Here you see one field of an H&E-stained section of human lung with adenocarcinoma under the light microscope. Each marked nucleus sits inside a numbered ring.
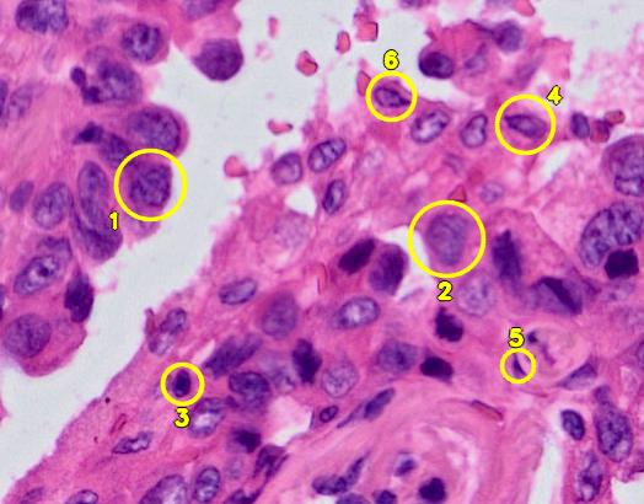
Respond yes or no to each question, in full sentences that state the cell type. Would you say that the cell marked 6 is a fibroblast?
No, the cell with number 6 is not a fibroblast but a macrophage or monocyte.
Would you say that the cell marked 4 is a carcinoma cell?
No, what is marked as number 4 is a macrophage or monocyte rather than a carcinoma cell.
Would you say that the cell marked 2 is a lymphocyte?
No, cell 2 is a carcinoma cell; it is not a lymphocyte.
